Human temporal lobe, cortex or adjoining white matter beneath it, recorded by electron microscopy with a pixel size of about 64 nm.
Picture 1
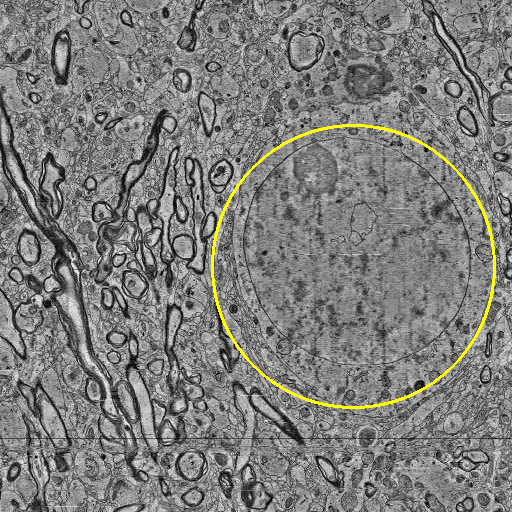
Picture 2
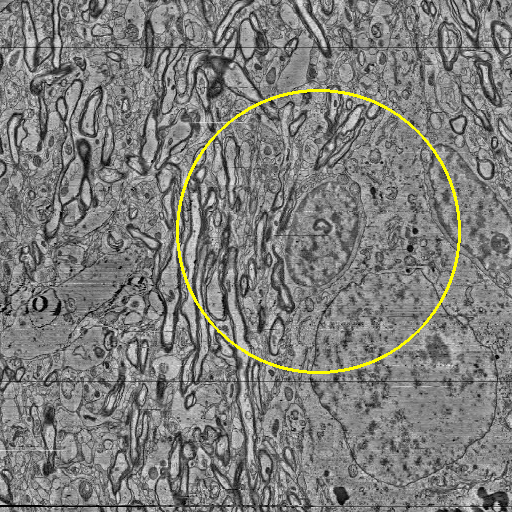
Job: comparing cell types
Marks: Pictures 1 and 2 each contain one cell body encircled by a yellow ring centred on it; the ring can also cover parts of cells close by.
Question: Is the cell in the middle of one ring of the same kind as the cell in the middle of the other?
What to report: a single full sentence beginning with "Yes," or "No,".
No, the cell at the ring centre in Picture 1 and its partner in Picture 2 are of two kinds.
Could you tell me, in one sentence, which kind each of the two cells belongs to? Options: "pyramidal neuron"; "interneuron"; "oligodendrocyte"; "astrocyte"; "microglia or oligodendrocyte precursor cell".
At the centre of the first ring sits a pyramidal neuron, and at the centre of the second sits an oligodendrocyte.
